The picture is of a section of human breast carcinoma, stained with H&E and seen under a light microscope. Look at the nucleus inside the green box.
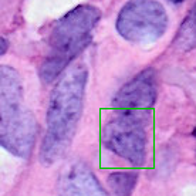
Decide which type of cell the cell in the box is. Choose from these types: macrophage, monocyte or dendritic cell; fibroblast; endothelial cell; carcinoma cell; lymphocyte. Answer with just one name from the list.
carcinoma cell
